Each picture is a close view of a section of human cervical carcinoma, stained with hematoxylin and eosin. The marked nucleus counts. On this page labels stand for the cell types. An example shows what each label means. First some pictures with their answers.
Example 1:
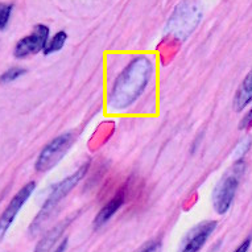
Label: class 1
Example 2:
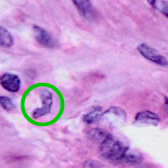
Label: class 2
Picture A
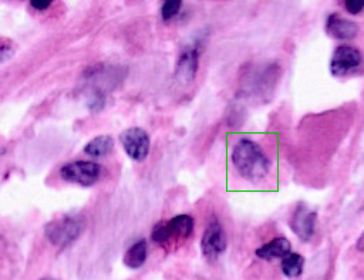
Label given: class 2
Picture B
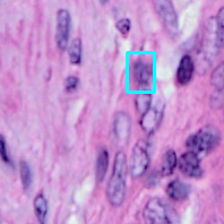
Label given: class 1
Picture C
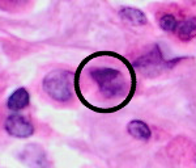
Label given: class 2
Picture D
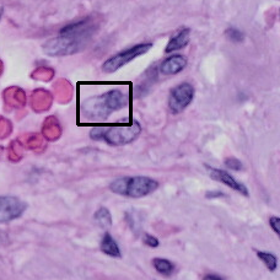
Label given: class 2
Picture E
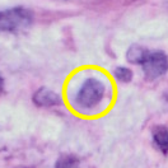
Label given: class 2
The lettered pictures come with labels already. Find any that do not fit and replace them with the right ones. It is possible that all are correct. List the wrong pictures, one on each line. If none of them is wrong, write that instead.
Wrong: D (class 2); correct: class 1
